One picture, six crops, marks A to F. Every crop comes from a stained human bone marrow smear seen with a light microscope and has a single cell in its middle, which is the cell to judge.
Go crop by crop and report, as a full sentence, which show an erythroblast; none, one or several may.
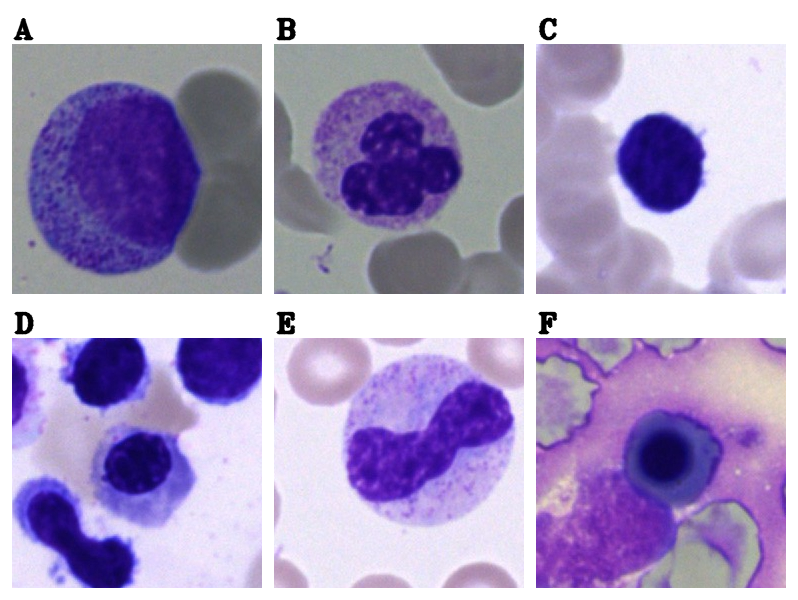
The cells marked D and F are erythroblasts.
